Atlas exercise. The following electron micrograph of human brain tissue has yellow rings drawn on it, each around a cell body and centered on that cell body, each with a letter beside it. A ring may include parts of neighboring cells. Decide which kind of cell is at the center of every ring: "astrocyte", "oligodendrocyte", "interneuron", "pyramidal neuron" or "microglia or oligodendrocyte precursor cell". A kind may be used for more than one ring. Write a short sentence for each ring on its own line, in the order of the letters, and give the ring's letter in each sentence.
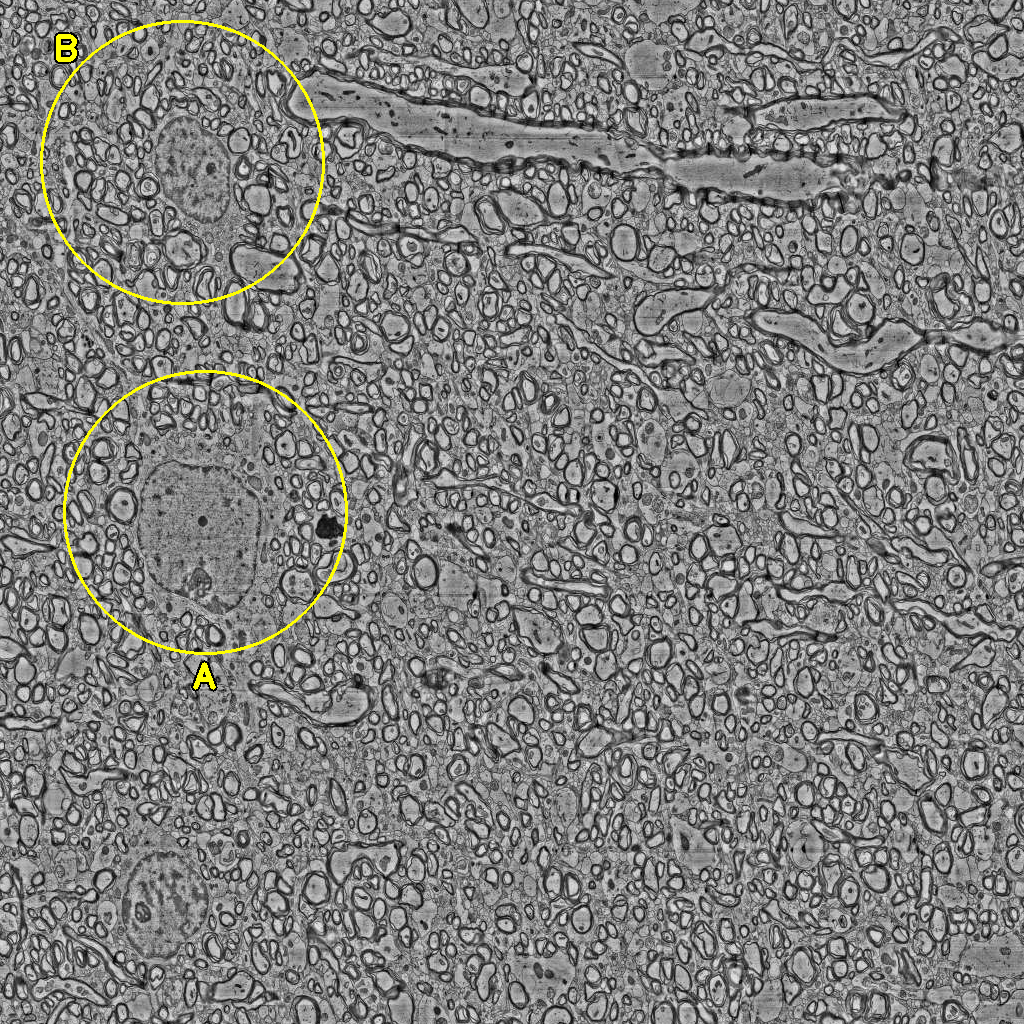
Ring A frames an astrocyte at its center.
Ring B frames an oligodendrocyte at its center.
